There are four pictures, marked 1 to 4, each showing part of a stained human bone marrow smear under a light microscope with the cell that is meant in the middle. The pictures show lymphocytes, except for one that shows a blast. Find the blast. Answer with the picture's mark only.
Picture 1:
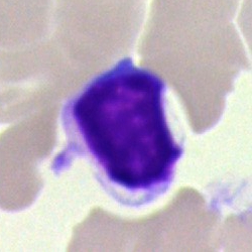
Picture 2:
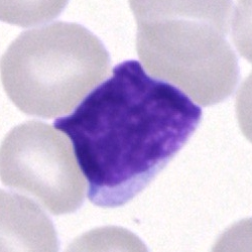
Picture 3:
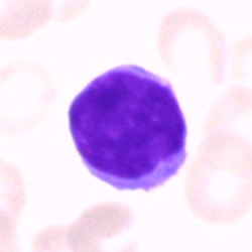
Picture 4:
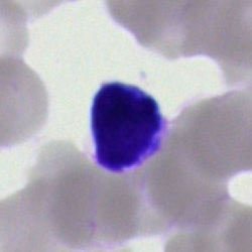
2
